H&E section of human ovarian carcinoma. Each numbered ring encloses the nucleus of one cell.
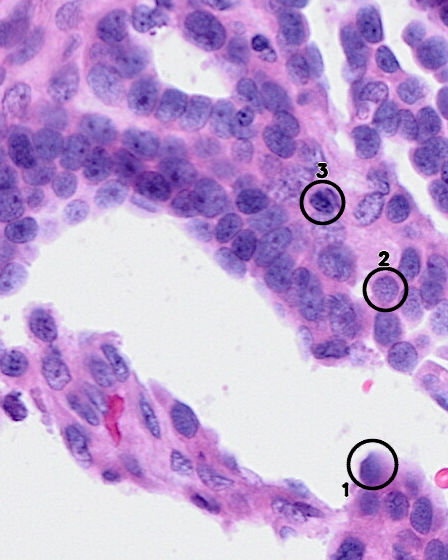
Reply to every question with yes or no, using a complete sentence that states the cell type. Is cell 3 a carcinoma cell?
No, cell 3 is not a carcinoma cell; a lymphocyte is the correct identification.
